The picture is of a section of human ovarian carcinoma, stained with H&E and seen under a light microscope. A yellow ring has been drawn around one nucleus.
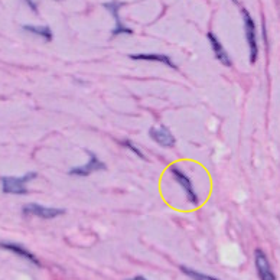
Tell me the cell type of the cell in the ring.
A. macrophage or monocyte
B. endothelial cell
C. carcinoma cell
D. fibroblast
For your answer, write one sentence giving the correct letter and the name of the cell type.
Option D gets it right: the cell in the ring is a fibroblast.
